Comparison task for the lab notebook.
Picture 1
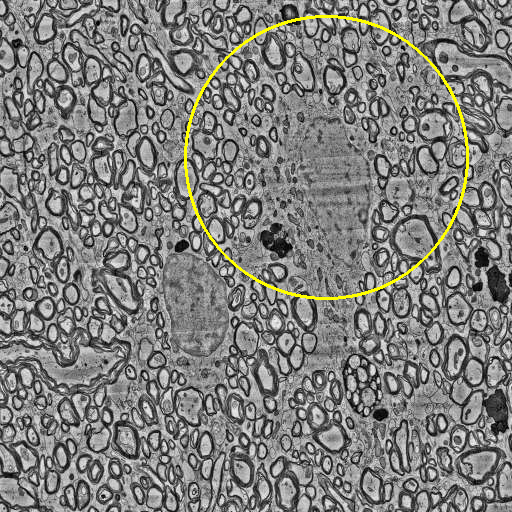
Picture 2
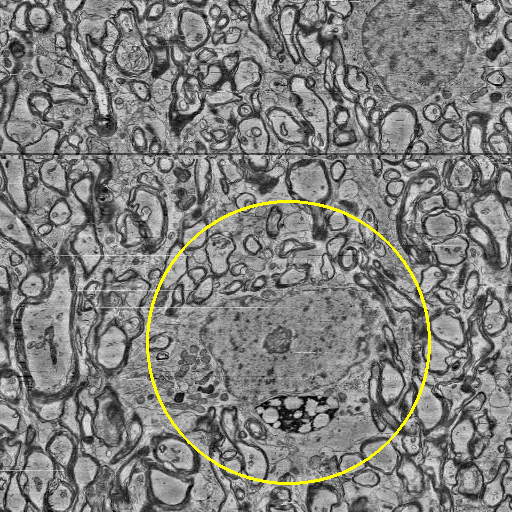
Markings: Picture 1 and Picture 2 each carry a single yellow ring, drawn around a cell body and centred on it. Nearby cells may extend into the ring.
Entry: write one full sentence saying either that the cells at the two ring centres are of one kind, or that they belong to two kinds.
The cells sitting at the ring centres in Picture 1 and Picture 2 are of one kind.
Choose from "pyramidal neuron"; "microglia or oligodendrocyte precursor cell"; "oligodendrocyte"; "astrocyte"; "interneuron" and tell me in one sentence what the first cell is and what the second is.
Each of the ringed cells, first and second, is an astrocyte.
